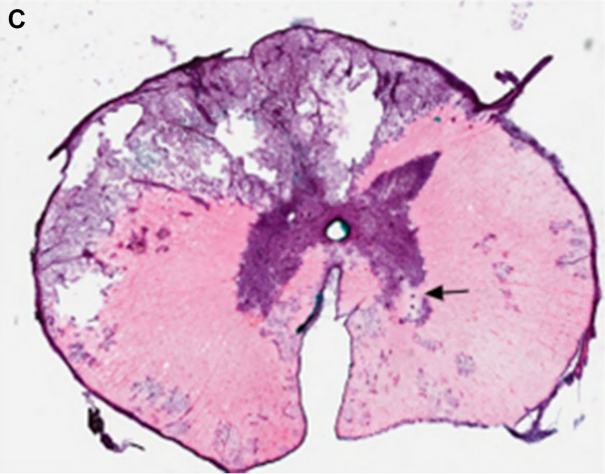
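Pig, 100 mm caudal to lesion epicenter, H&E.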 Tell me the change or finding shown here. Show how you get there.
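Cystic cavity. Several separate empty white spaces lie in the upper part of the section. The tissue around the empty spaces is loose and fragmented.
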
